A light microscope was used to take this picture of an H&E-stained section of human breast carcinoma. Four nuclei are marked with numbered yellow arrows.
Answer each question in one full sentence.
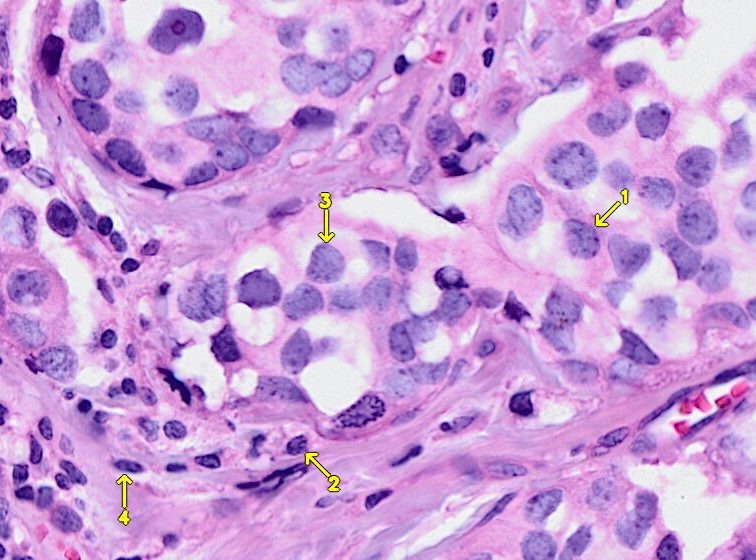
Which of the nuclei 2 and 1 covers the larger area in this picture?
Nucleus 1 covers more area, about 2.5 times as much as nucleus 2.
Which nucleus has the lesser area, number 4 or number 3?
Nucleus 4 covers less area, with nucleus 3 about 4 times as large.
